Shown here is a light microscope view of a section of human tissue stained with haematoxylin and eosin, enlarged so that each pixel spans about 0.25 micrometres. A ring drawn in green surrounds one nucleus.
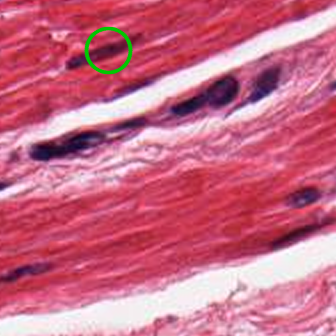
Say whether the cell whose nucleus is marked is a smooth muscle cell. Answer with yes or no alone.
yes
